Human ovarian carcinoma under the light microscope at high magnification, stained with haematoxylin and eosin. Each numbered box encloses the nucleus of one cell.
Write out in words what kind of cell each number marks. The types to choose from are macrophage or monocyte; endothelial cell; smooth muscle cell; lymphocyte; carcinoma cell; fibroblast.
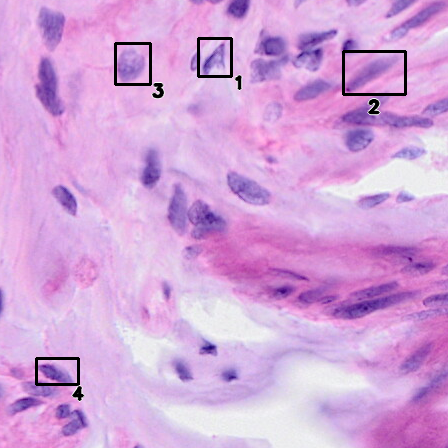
Cell 1 is a fibroblast, cell 2 is a smooth muscle cell, cell 3 is a fibroblast and cell 4 is a smooth muscle cell.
